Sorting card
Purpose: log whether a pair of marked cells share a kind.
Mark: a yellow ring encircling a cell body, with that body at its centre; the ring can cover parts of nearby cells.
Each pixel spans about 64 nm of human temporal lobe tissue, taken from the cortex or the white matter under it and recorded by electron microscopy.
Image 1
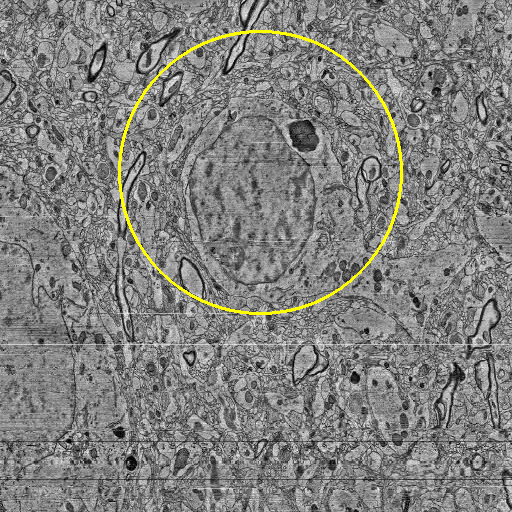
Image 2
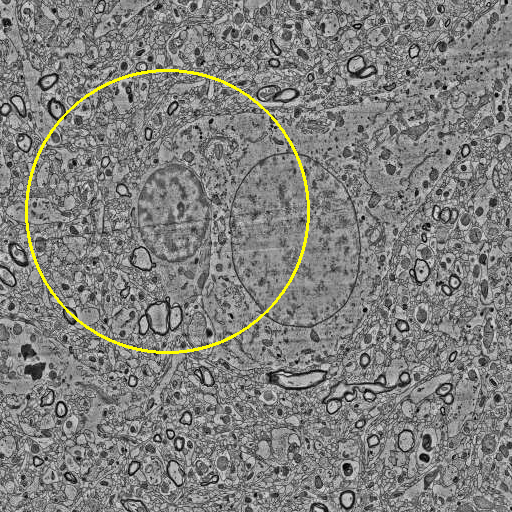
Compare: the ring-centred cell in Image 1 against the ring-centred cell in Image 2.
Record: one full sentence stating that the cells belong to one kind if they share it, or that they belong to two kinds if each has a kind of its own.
Across Images 1 and 2, the two ring-centred cells belong to two kinds.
